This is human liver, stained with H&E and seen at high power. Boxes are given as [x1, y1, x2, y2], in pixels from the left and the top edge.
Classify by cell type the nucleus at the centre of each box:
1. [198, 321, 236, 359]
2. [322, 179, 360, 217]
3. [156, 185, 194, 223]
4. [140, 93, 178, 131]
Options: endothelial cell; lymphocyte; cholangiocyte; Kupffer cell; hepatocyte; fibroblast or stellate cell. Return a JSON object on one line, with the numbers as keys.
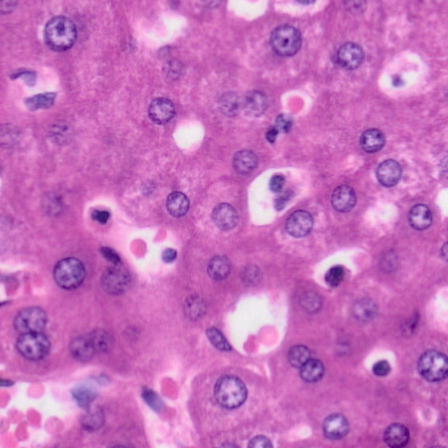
{"1": "fibroblast or stellate cell", "2": "hepatocyte", "3": "hepatocyte", "4": "hepatocyte"}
